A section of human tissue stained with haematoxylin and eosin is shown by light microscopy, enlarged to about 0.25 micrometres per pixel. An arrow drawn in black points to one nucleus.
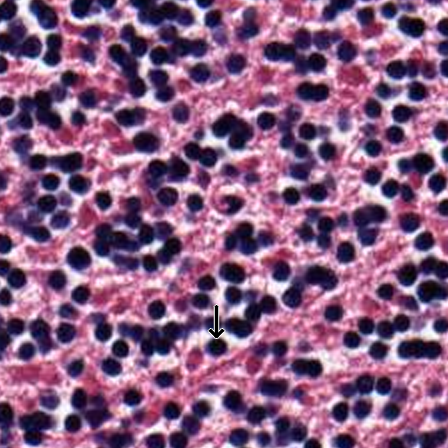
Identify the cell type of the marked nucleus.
cerebellar granule cell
